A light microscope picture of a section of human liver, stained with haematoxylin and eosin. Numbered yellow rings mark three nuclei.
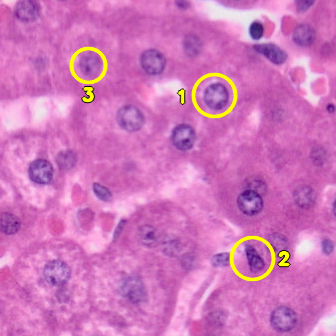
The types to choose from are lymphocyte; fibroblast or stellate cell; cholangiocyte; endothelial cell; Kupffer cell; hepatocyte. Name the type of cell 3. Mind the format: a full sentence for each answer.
The cell indicated by marker 3 is a hepatocyte in this section.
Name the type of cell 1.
The marked cell bearing number 1 is a hepatocyte.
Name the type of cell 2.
It is as a fibroblast or stellate cell that the cell numbered 2 is identified.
